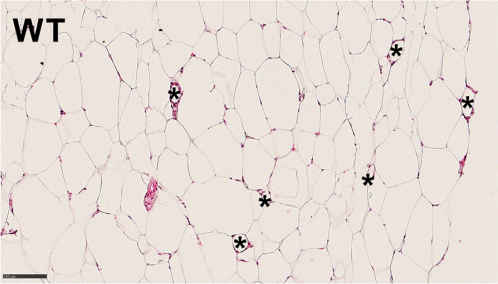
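White adipose tissue composed of large, closely packed fat cells with clear interiors and thin pink borders. Flattened dark nuclei lie at the periphery of the fat cells. Small, dense, pink clusters of cells with dark nuclei are scattered at the junctions between fat cells, with occasional small vessels among them.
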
